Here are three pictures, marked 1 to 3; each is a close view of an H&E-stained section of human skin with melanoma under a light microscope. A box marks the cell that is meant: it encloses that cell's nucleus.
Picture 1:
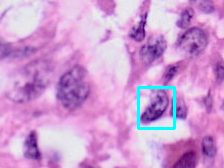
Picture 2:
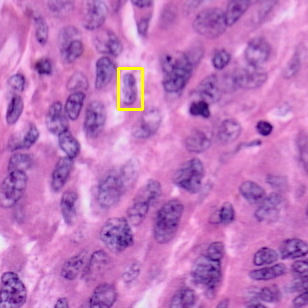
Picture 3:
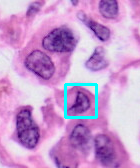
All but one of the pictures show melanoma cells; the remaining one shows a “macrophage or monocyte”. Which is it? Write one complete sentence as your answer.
The cell in picture 2 is the “macrophage or monocyte”.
